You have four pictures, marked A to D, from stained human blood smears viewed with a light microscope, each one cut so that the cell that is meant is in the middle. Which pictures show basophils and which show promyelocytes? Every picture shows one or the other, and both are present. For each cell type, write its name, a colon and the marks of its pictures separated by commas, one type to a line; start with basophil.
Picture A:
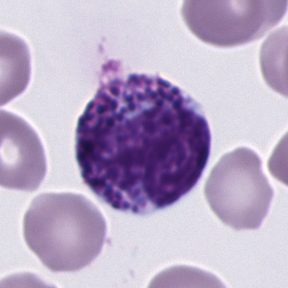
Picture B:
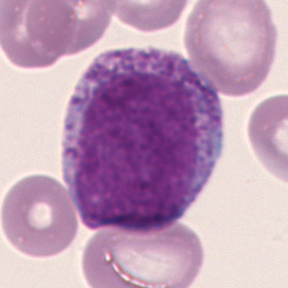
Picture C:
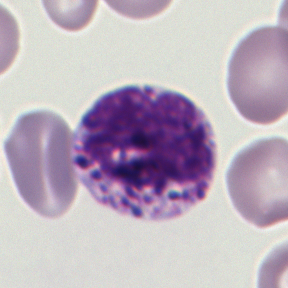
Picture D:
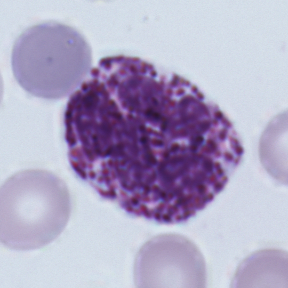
basophil: A, C, D
promyelocyte: B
